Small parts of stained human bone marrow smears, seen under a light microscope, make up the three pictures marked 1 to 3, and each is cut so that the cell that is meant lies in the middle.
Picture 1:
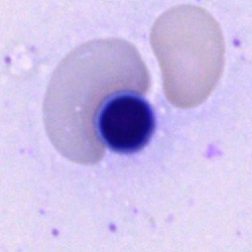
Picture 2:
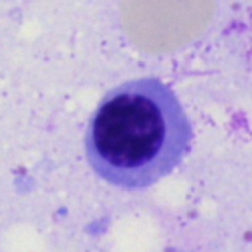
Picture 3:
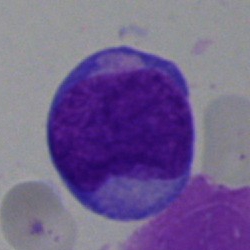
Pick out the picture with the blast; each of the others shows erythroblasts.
3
